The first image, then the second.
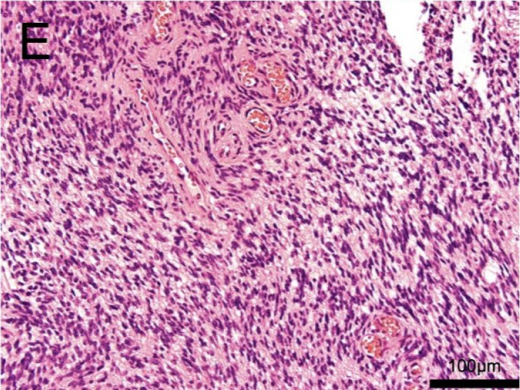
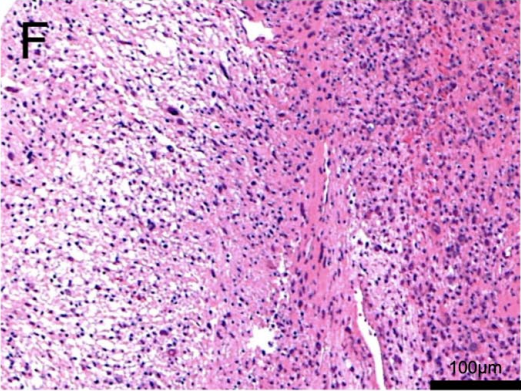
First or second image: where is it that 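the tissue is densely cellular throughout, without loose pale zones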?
The first image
